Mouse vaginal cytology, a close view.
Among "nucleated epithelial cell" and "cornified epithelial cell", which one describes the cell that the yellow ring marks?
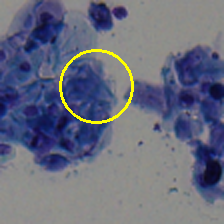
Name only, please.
cornified epithelial cell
